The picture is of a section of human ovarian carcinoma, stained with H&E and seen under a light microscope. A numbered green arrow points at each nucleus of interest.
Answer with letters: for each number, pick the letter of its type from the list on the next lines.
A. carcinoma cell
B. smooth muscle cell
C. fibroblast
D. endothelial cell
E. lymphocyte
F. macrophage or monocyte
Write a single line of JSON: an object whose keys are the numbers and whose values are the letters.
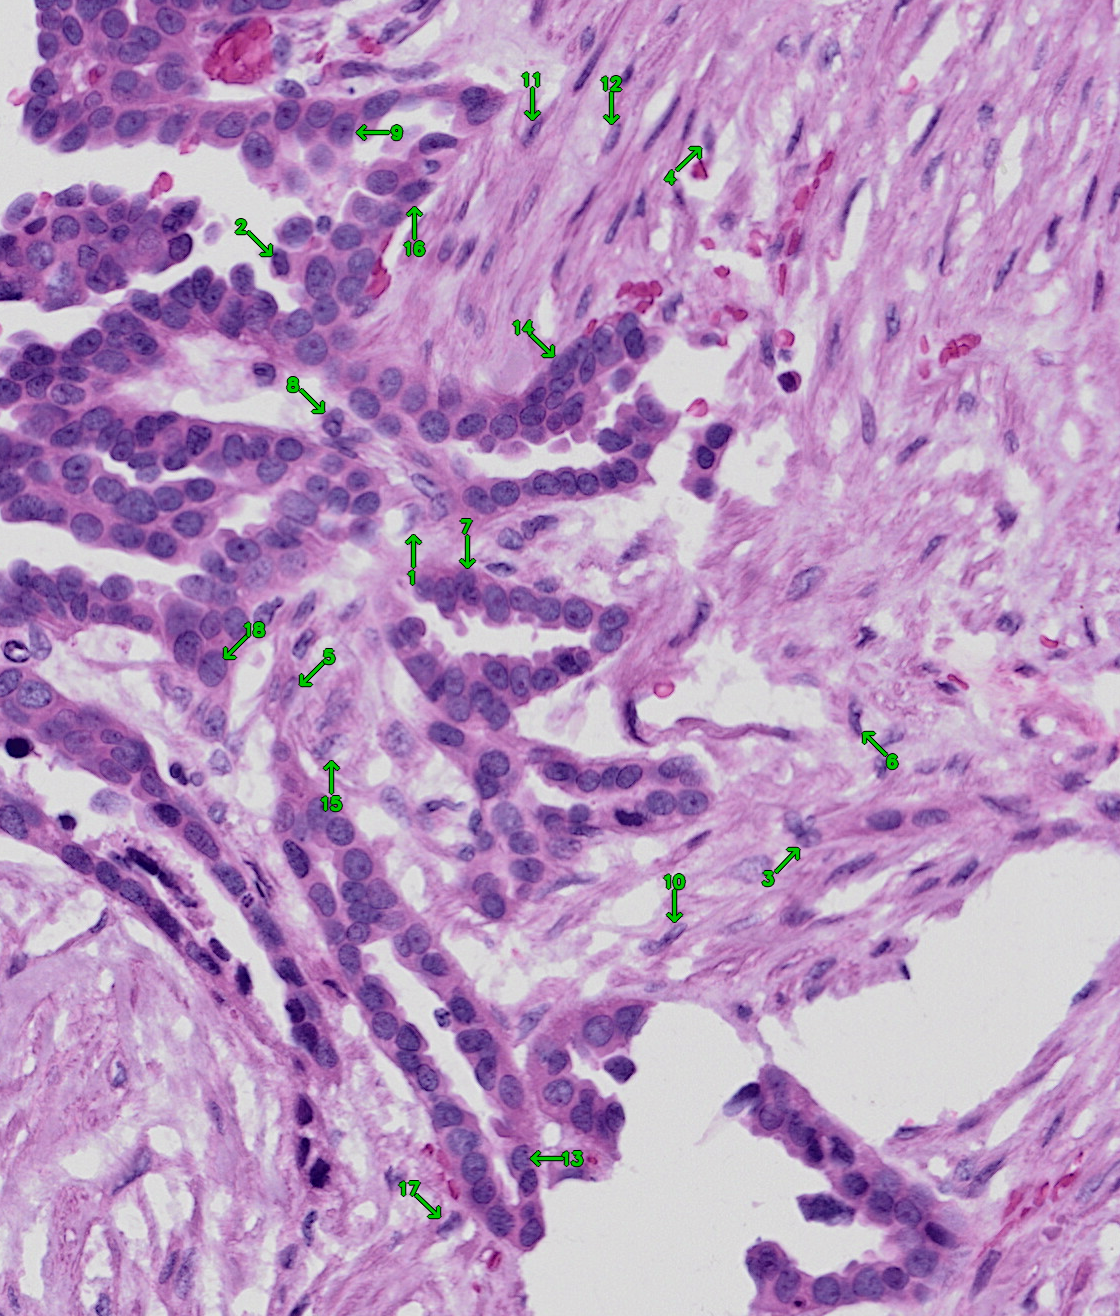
{"1": "C", "2": "F", "3": "C", "4": "C", "5": "C", "6": "C", "7": "A", "8": "F", "9": "A", "10": "C", "11": "C", "12": "C", "13": "A", "14": "A", "15": "C", "16": "A", "17": "C", "18": "A"}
